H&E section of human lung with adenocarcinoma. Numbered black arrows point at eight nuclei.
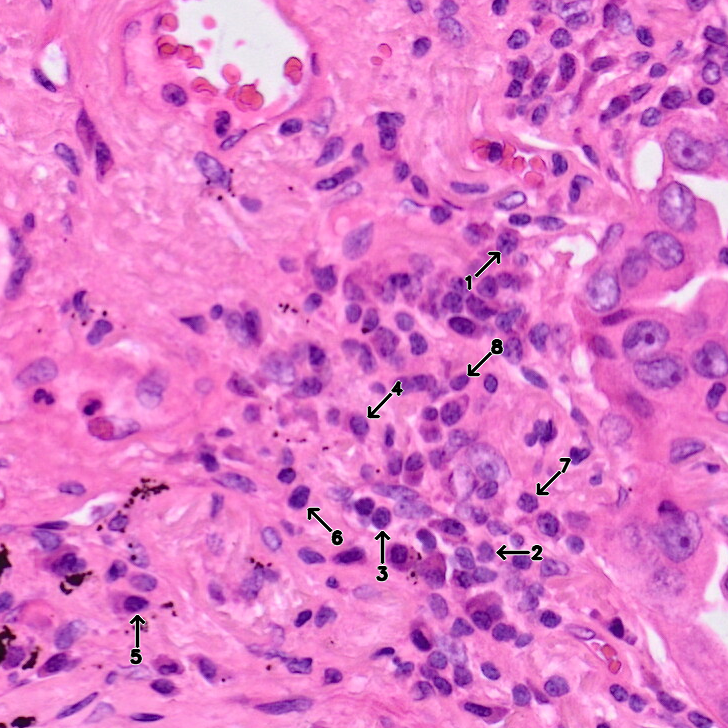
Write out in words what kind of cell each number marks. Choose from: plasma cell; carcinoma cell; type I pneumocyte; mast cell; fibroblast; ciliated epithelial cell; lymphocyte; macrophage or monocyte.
Cells 1, 4 and 5 are plasma cells. Cells 2, 3, 6, 7 and 8 are lymphocytes.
